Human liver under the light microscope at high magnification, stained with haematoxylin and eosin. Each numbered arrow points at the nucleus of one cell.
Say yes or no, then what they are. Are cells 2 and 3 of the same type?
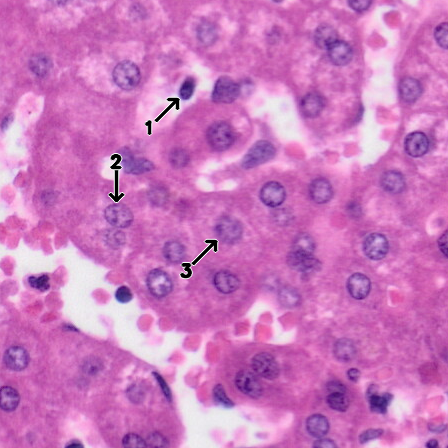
Yes, note that cells 2 and 3 are both hepatocytes.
